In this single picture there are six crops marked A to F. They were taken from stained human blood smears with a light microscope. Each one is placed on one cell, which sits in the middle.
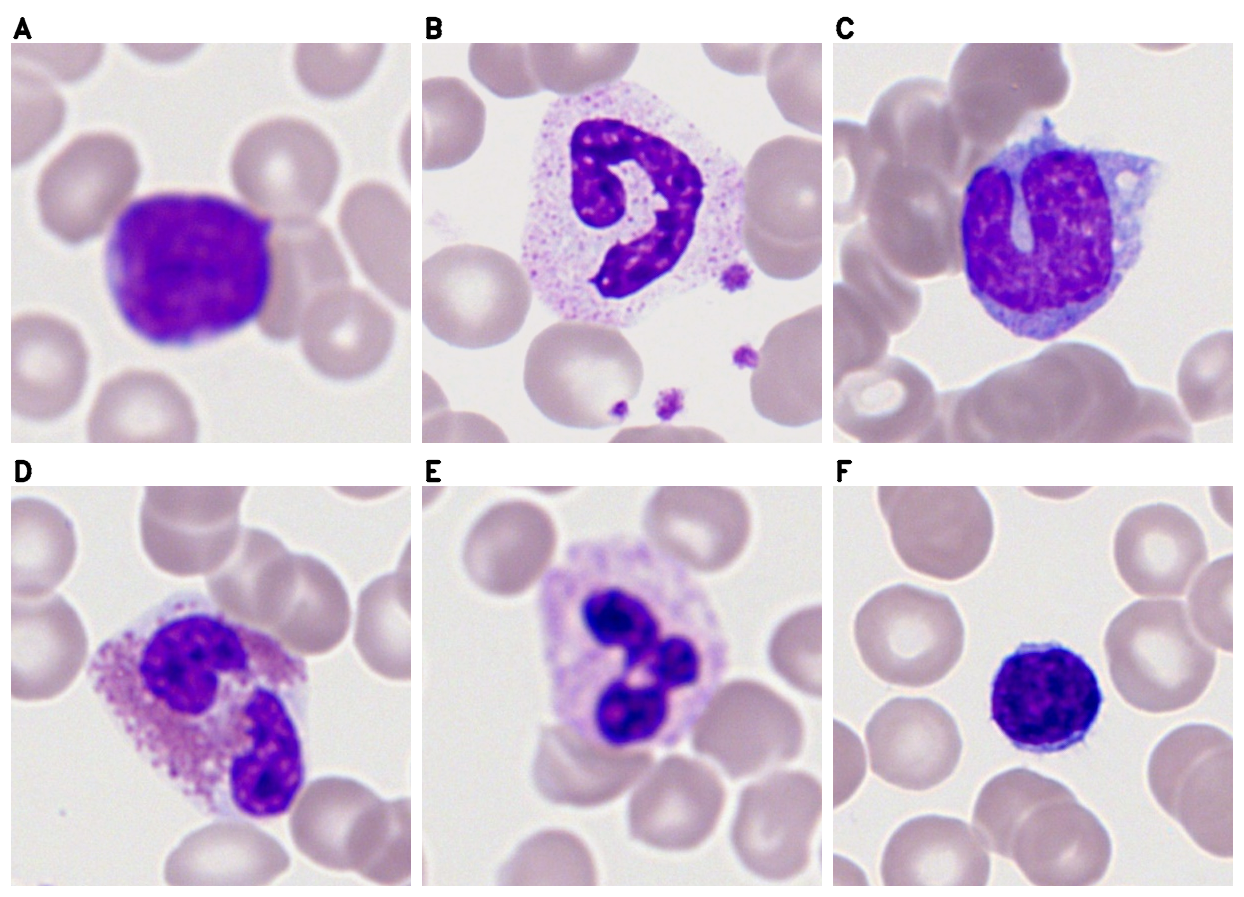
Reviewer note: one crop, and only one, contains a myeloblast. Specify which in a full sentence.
The crop in which a myeloblast is shown is crop A.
